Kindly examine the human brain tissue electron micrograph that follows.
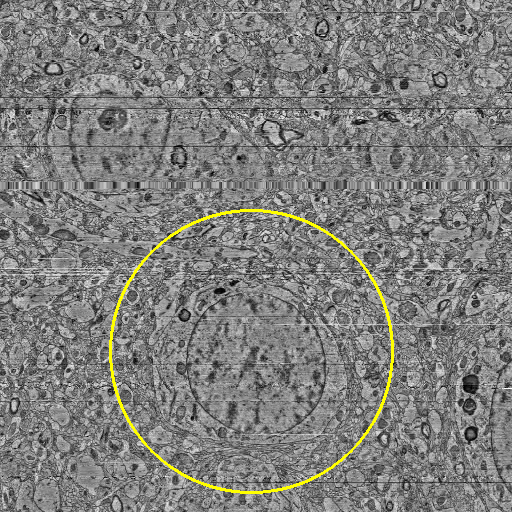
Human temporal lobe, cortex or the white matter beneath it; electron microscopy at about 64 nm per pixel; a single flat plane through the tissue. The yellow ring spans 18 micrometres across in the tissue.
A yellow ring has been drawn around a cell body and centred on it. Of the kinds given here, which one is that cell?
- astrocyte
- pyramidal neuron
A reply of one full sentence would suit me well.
The micrograph's ringed cell, the one at the ring's centre, is a pyramidal neuron.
